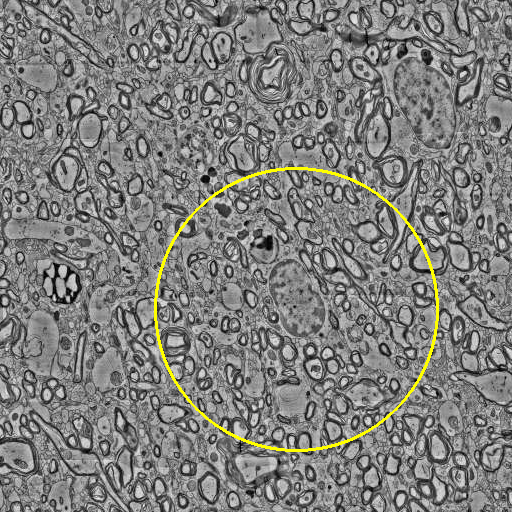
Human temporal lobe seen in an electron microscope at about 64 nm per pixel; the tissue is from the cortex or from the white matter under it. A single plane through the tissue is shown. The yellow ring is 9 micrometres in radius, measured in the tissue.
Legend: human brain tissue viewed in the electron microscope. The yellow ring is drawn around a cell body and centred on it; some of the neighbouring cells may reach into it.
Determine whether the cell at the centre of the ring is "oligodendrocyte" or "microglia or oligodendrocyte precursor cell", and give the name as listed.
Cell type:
microglia or oligodendrocyte precursor cell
